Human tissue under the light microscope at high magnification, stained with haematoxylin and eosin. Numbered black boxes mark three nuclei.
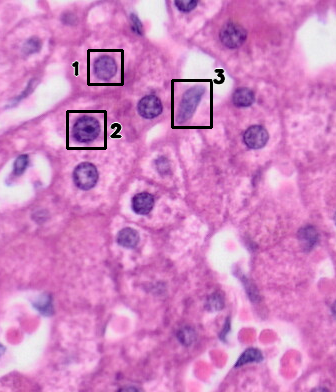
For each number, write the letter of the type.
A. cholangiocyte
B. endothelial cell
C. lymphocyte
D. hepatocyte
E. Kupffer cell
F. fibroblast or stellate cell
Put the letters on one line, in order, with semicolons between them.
D; D; E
